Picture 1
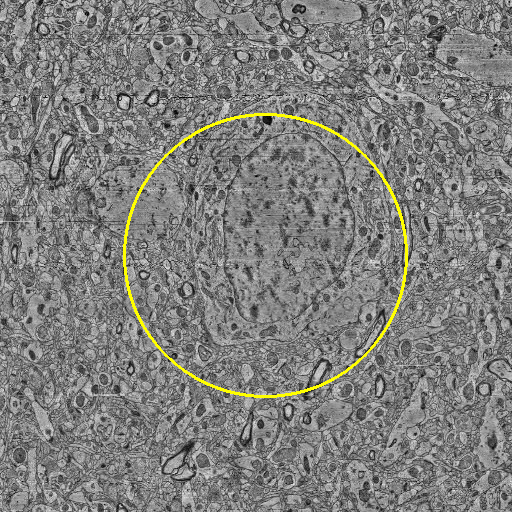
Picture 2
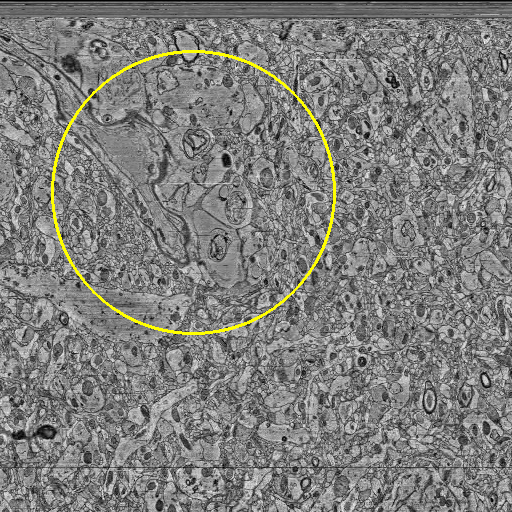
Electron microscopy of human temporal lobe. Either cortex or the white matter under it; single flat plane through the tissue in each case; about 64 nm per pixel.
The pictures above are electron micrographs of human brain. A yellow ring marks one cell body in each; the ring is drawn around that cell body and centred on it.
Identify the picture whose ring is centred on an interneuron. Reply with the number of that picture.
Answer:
1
